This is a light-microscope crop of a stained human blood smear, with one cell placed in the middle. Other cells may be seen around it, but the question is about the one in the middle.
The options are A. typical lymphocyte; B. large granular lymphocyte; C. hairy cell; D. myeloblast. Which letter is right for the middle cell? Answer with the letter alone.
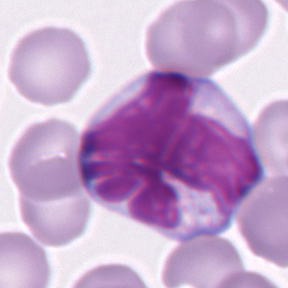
B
